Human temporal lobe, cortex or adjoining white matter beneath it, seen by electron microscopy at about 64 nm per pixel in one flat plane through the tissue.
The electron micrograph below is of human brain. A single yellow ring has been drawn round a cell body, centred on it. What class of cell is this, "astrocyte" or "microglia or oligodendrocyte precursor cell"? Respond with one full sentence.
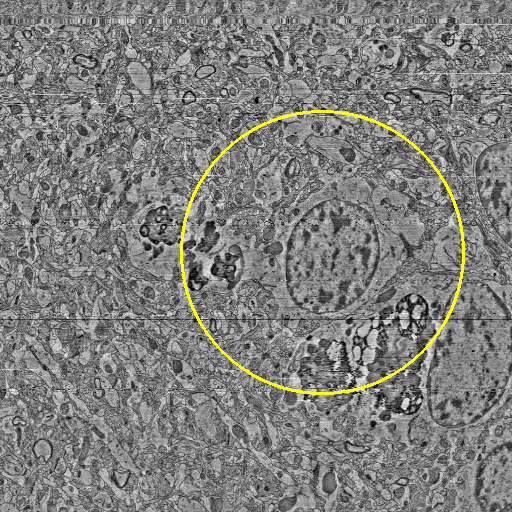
In the micrograph, the cell centred inside the yellow ring is an astrocyte.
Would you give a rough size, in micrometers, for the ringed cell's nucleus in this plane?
Roughly 8 by 6 micrometres in this plane, for the nucleus of the ringed cell.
